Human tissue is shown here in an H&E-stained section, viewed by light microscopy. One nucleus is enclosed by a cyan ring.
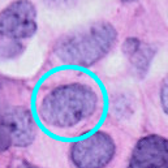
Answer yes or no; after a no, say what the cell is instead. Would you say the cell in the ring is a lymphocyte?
No, it is a carcinoma cell.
